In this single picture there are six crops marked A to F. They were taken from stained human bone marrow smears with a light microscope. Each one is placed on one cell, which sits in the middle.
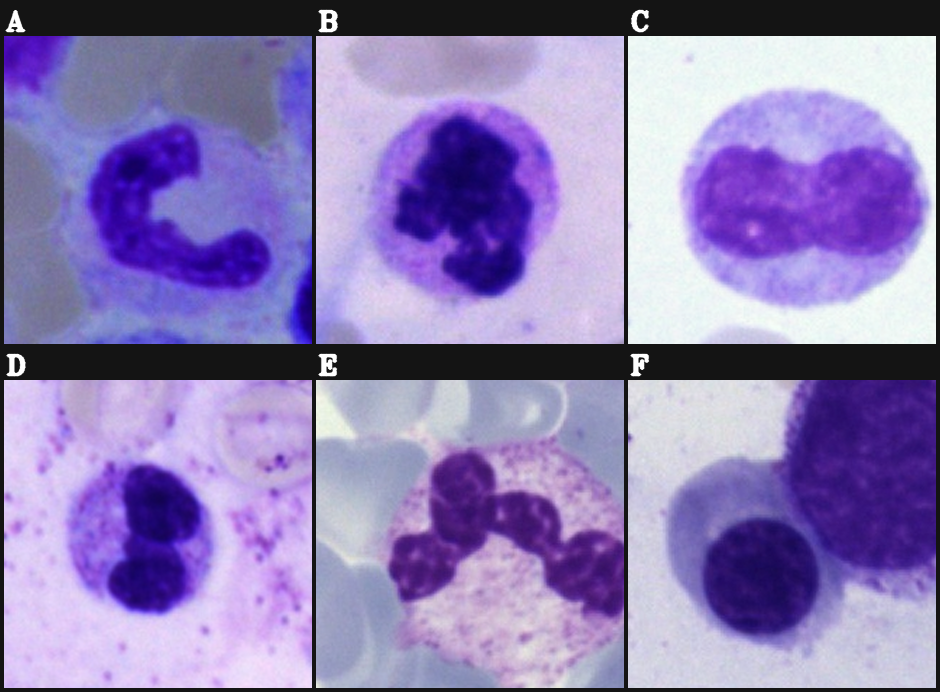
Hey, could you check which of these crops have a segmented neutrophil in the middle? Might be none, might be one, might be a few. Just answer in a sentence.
Crops A, B, D and E show segmented neutrophils as their centred cells.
